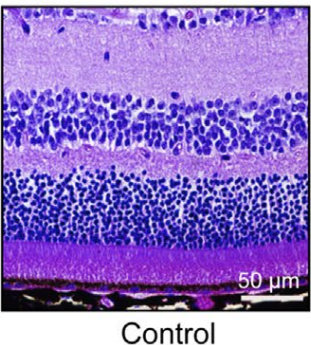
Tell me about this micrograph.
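This is a cross-section of retinal tissue showing its layered organisation, with purple nuclear bands alternating with pale pink fibrous layers. A single row of larger cells with rounded nuclei lies along the top, a middle band of several rows of rounded nuclei lies below a broad pink layer, and a thicker band of small, dark, densely packed round nuclei lies deeper still. Beneath this is a pink striated layer resting on a dark pigmented layer at the bottom.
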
